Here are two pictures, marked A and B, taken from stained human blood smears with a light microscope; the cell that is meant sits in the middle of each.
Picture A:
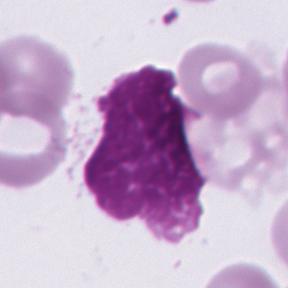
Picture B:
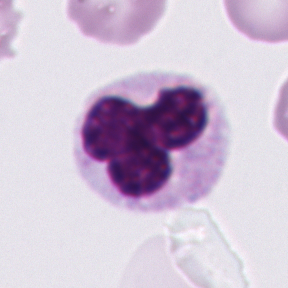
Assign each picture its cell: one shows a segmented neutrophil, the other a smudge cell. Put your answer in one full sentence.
The cell in picture A is a smudge cell, and the one in picture B is a segmented neutrophil.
